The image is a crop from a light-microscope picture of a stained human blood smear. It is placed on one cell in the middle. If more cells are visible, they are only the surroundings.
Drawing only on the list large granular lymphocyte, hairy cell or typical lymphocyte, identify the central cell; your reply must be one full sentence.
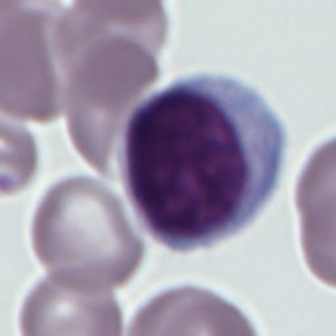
The central cell in this smear crop is a typical lymphocyte.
